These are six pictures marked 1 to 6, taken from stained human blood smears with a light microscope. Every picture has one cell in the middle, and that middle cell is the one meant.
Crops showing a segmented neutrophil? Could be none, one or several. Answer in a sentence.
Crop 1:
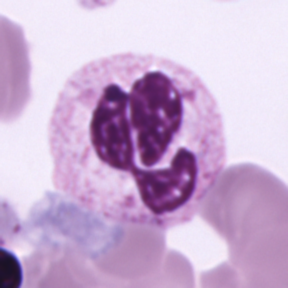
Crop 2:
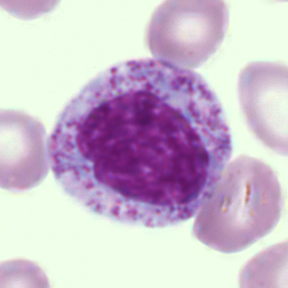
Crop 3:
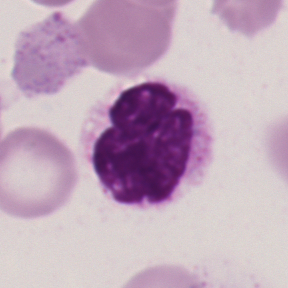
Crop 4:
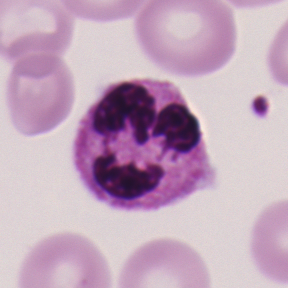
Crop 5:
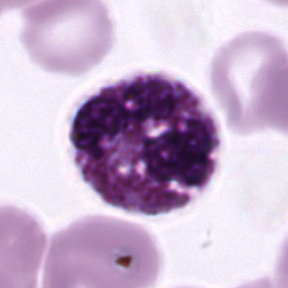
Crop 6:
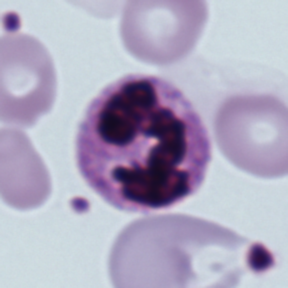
What crops 1, 3, 4 and 6 show in the middle are segmented neutrophils.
